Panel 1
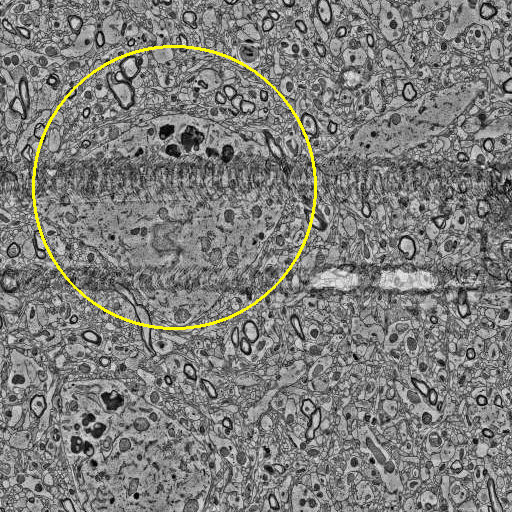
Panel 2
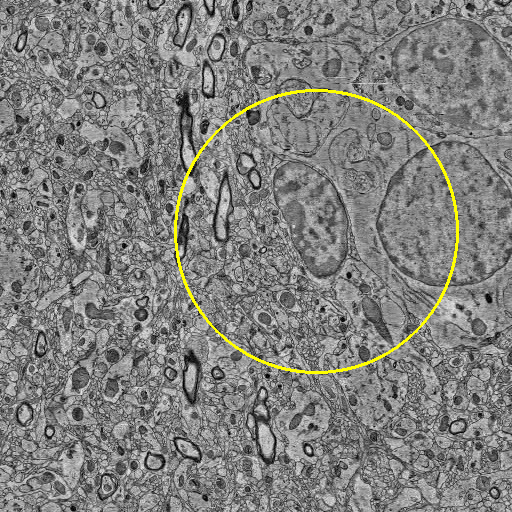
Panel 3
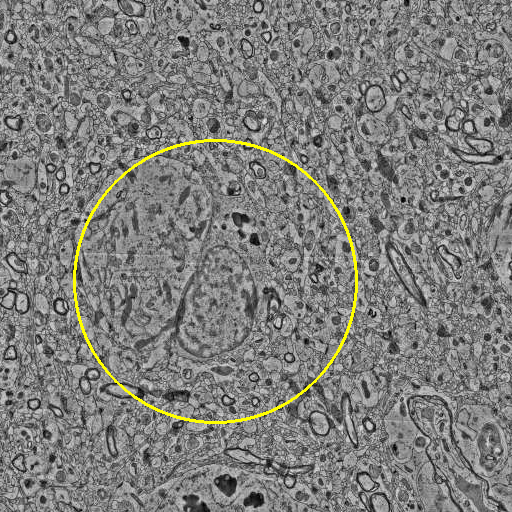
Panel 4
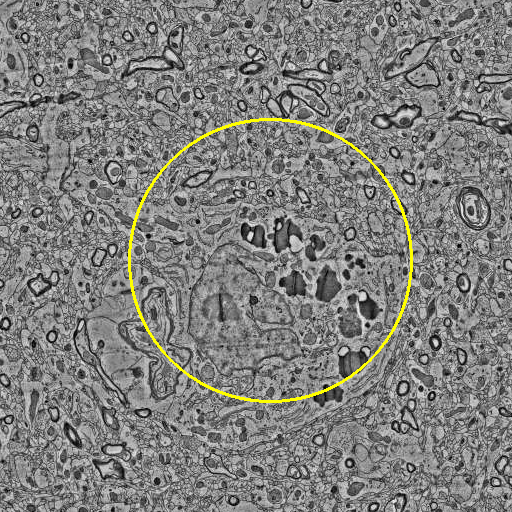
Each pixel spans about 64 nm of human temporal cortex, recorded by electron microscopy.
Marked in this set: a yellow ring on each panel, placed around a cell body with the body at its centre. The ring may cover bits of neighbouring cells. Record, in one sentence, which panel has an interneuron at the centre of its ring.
Panel 4 has it at the centre of its ring.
